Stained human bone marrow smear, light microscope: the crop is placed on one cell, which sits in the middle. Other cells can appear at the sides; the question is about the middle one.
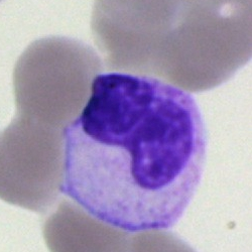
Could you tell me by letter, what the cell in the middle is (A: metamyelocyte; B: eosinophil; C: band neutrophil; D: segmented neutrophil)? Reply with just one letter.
A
